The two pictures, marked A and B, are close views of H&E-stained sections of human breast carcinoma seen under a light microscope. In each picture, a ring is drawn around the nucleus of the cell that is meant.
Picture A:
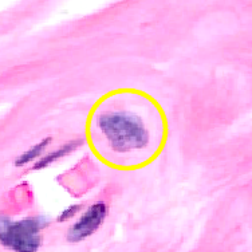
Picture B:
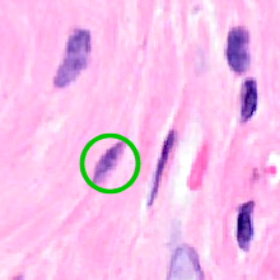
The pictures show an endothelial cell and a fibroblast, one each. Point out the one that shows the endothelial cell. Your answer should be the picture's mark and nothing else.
A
